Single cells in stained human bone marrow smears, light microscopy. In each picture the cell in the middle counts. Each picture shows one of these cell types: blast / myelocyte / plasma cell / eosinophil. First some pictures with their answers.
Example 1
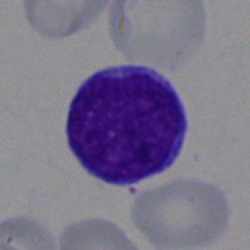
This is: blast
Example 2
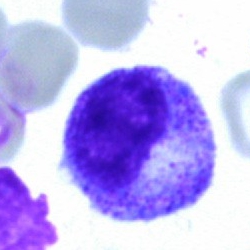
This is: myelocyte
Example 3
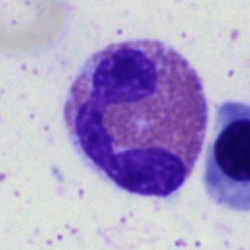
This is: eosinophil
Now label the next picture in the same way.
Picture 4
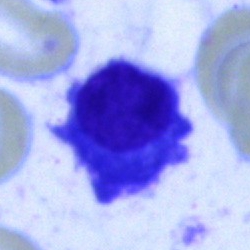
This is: plasma cell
